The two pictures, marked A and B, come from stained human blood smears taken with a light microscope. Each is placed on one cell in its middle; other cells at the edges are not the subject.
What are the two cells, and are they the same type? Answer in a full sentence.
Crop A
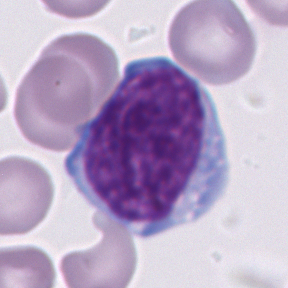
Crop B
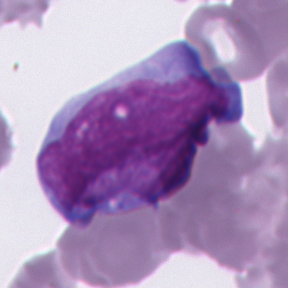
Yes, the two crops share the same answer, myeloblasts.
